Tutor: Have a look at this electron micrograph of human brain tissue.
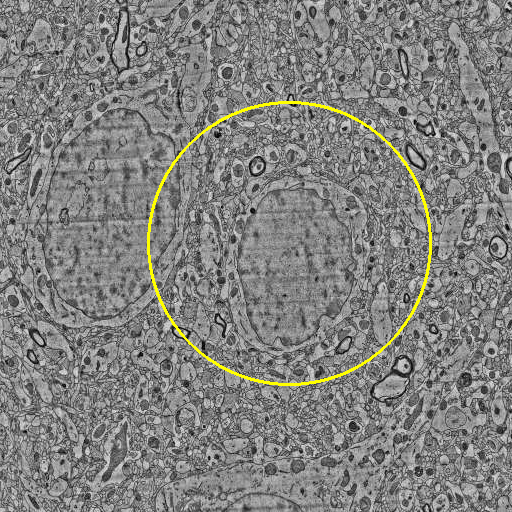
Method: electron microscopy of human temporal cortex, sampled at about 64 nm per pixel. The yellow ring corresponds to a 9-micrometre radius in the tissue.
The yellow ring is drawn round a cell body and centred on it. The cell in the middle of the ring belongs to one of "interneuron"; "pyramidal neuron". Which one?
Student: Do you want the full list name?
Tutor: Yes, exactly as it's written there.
interneuron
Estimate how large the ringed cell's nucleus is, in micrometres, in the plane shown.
In this plane the nucleus is about 10 micrometres by 8.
